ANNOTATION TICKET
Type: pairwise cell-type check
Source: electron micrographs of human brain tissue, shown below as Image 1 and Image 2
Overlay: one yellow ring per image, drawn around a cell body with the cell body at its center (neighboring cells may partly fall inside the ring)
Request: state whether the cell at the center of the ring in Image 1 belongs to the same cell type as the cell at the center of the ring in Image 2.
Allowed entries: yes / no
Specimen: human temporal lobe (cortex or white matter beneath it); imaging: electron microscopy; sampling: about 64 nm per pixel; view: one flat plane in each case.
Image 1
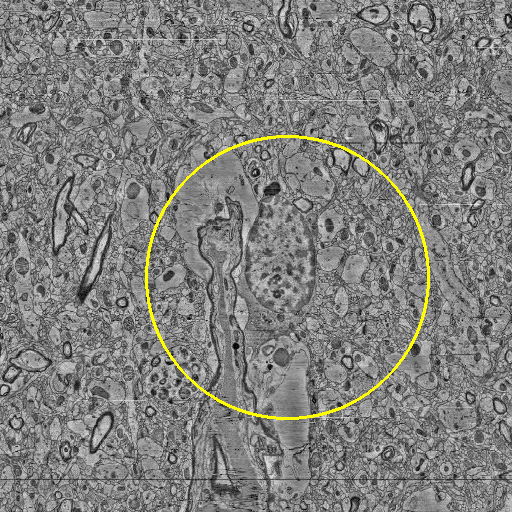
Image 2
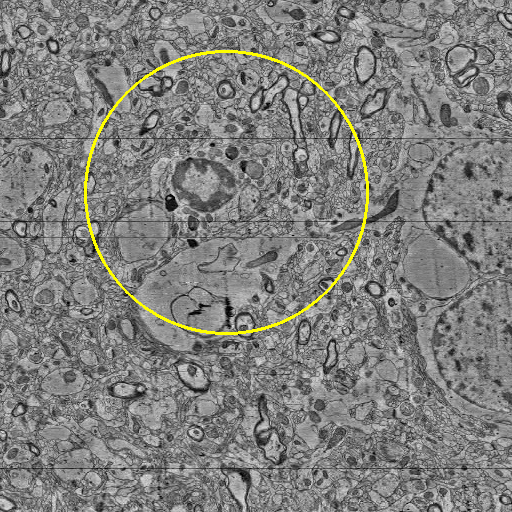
no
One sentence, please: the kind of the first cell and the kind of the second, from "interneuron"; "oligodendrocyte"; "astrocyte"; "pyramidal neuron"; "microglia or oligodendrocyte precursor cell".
The ring in the first picture surrounds an oligodendrocyte, and the ring in the second surrounds a microglial cell or oligodendrocyte precursor cell.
